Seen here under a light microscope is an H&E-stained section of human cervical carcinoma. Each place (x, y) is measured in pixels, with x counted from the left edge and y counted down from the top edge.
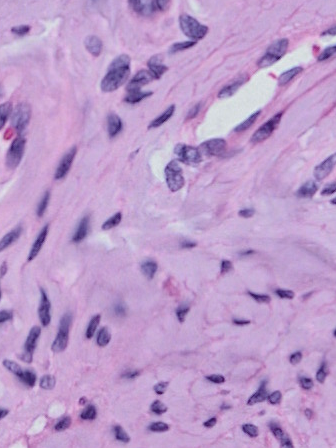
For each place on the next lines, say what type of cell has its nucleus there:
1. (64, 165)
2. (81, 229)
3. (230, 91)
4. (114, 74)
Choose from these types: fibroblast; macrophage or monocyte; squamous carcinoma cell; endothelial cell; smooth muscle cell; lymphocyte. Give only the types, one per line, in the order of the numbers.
fibroblast
fibroblast
endothelial cell
fibroblast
